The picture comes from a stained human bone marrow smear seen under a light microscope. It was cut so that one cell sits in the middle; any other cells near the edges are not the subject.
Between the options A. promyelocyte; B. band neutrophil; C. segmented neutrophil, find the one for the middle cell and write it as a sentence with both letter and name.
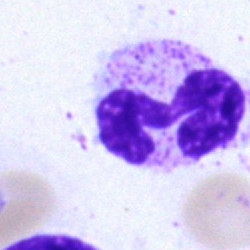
The right choice is option C: the cell in the middle is a segmented neutrophil.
